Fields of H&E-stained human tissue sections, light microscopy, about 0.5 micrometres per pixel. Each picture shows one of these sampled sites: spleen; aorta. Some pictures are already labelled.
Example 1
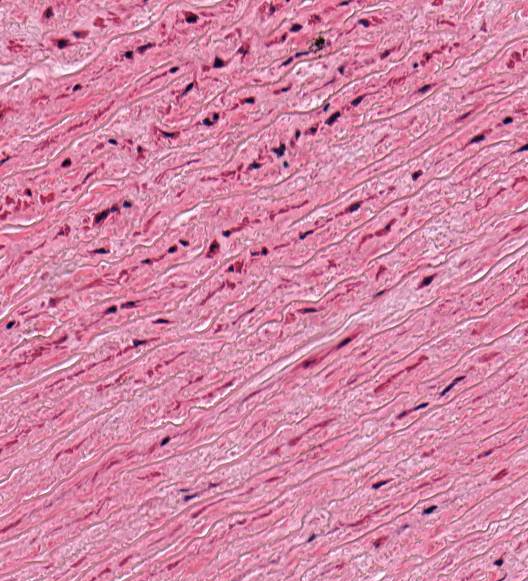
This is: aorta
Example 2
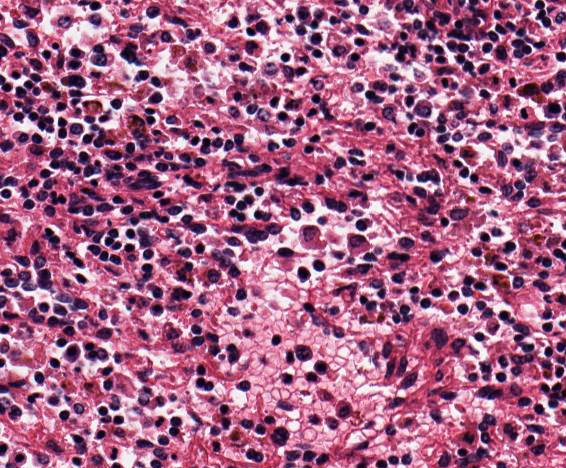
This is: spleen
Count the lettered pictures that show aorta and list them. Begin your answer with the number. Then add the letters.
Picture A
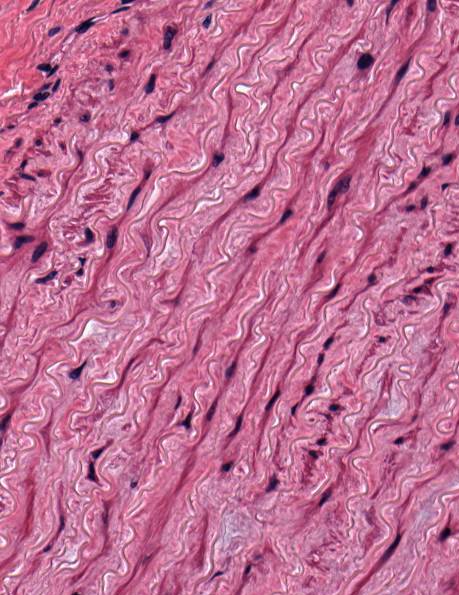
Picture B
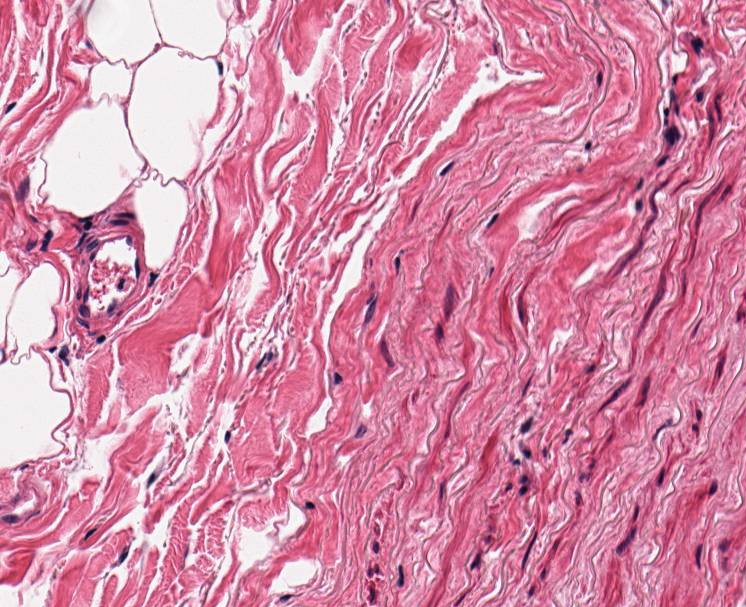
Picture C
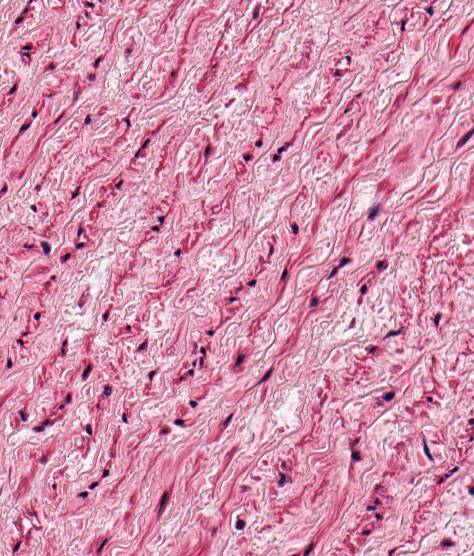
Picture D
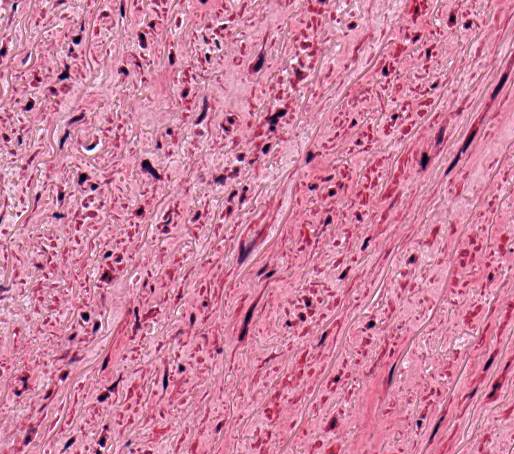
4, namely A, B, C, D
